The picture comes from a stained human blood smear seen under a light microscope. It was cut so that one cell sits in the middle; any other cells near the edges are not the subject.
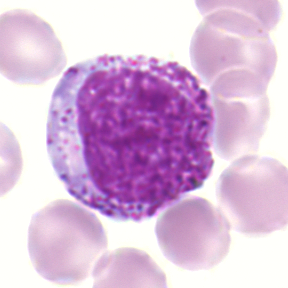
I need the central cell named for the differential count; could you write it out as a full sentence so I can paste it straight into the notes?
This crop has a myelocyte at its centre.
